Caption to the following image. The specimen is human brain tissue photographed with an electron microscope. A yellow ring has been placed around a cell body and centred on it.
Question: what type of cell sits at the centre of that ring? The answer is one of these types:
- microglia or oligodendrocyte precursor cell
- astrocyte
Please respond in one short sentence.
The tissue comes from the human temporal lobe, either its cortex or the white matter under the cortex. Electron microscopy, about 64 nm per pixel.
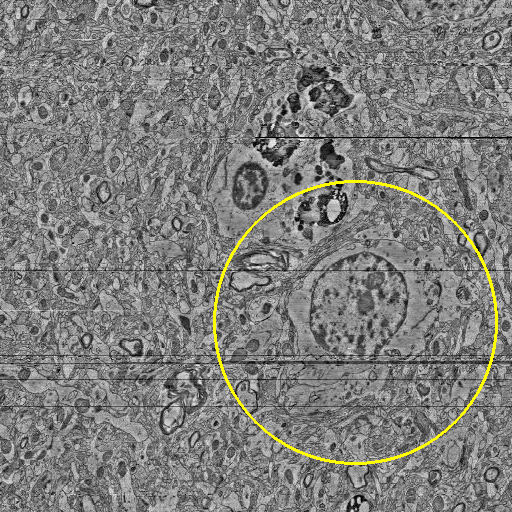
The ring surrounds the cell body of an astrocyte.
